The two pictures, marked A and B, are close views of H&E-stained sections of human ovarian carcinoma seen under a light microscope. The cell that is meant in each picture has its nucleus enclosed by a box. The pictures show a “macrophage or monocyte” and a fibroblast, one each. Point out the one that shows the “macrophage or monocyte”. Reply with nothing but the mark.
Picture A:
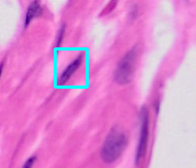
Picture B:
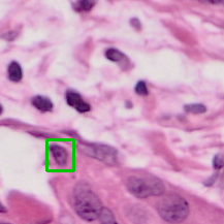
B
